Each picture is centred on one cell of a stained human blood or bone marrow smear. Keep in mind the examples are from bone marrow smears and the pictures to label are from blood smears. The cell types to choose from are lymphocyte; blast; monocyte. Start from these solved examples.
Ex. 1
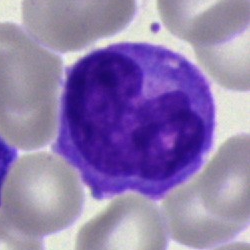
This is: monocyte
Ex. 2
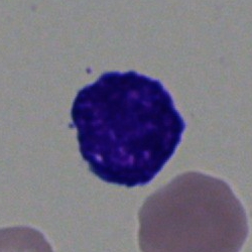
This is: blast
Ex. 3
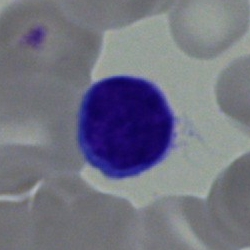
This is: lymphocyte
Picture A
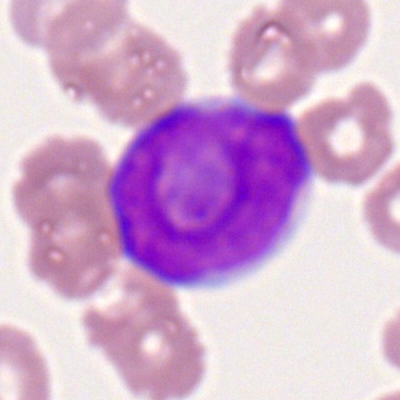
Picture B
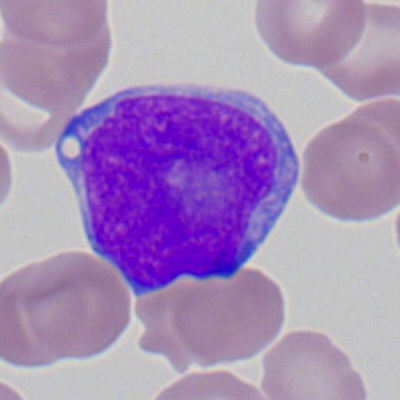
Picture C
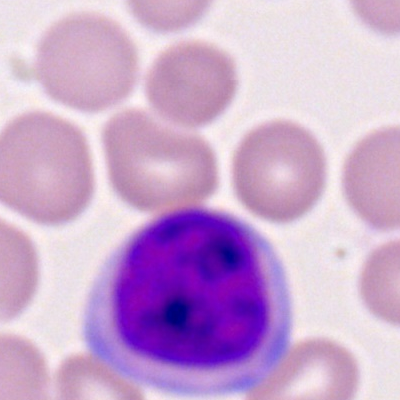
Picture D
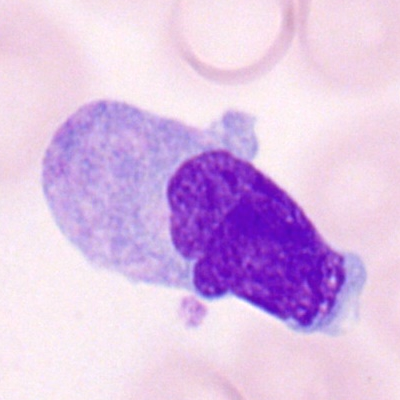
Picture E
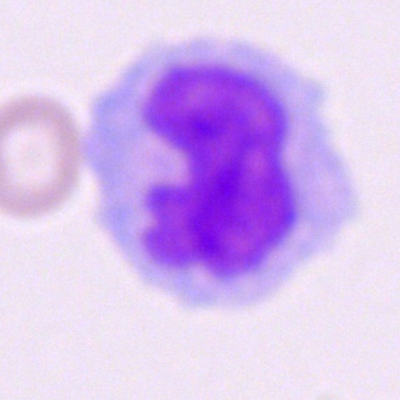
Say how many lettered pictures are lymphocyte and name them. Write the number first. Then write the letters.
1: C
